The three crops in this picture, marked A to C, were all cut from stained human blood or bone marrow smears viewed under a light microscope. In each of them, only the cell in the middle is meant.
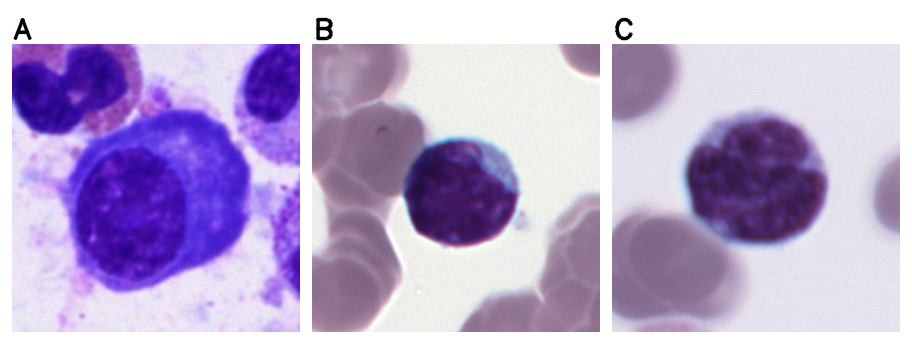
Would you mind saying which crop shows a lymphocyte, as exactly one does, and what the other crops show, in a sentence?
Crop B counts as a lymphocyte, while crop A is a plasma cell and crop C is a monocyte.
